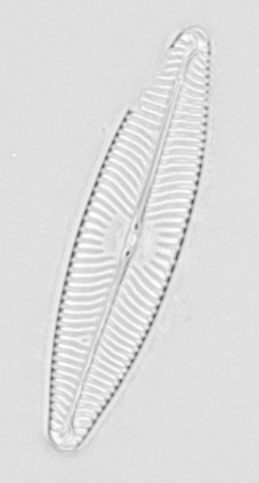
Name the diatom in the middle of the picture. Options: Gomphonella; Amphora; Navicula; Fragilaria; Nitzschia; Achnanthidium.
Navicula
